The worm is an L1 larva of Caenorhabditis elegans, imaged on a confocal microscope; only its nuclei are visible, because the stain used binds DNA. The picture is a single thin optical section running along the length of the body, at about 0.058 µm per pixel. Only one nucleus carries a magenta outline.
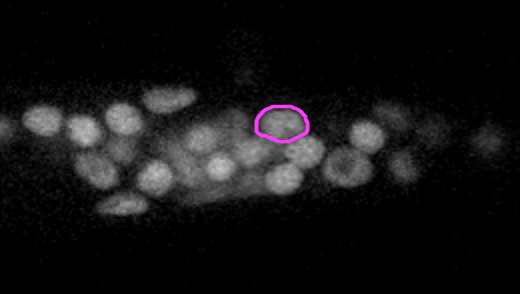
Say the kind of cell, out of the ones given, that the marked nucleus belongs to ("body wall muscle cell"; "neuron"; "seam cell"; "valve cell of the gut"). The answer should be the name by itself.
body wall muscle cell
